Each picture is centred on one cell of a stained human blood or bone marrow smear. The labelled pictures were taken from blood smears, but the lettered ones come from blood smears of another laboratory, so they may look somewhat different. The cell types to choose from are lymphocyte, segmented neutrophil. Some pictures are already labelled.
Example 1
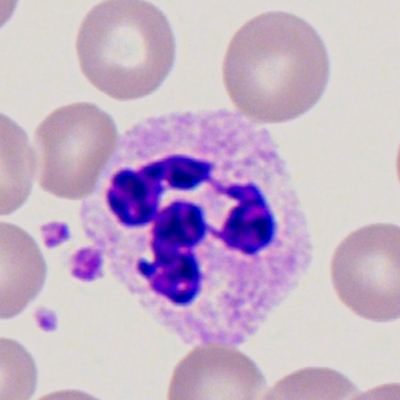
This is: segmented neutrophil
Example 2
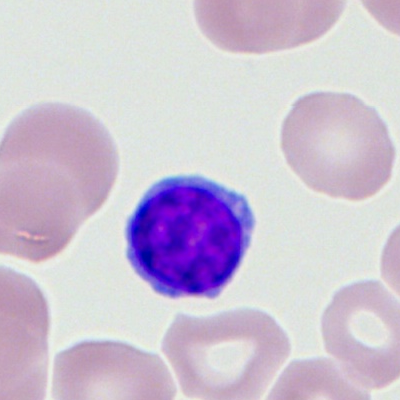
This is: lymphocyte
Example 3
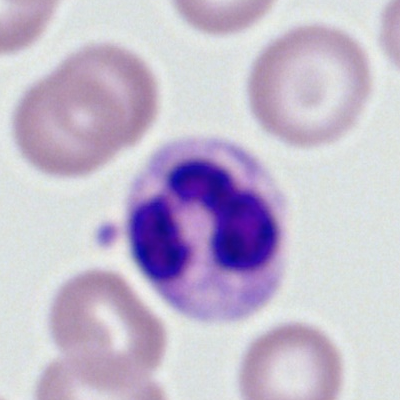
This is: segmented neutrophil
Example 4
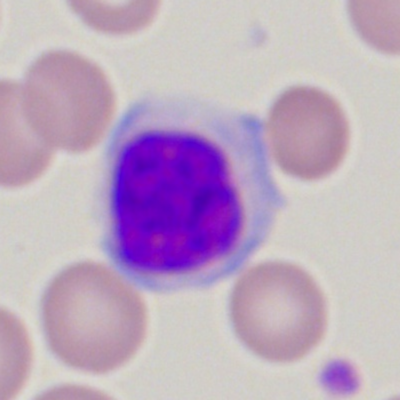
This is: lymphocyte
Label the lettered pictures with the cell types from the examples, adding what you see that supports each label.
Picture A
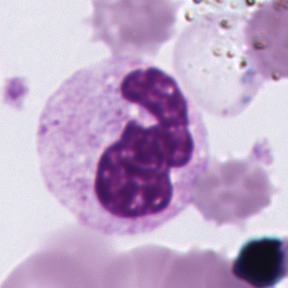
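segmented neutrophil. Reason: The cytoplasm is abundant and pale pinkish-lilac.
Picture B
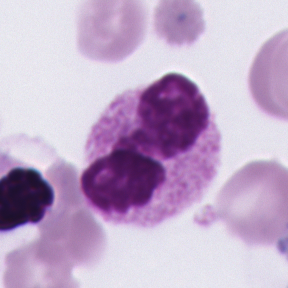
segmented neutrophil. Reason: The cytoplasm is pale pink and shows most at the upper left and lower right of the cell.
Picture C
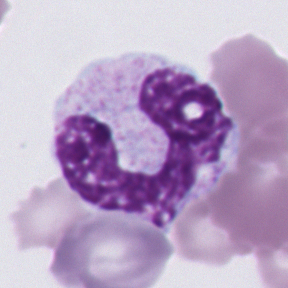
segmented neutrophil. Reason: The nucleus forms one thick continuous band curved around a central patch of cytoplasm.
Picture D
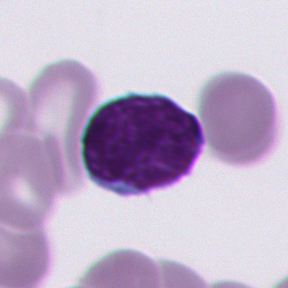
lymphocyte. Reason: Only a scant rim of pale blue cytoplasm shows, mostly at the lower edge.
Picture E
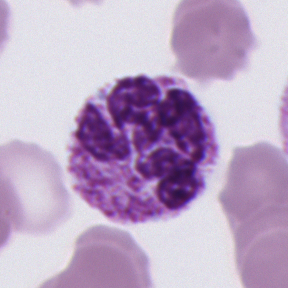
segmented neutrophil. Reason: The nucleus is divided into several separate lobes linked by thin strands.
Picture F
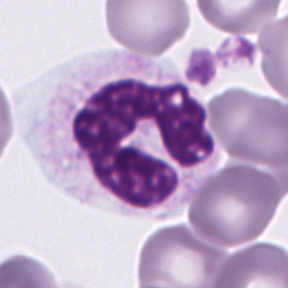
segmented neutrophil. Reason: The cytoplasm is plentiful and very pale.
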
